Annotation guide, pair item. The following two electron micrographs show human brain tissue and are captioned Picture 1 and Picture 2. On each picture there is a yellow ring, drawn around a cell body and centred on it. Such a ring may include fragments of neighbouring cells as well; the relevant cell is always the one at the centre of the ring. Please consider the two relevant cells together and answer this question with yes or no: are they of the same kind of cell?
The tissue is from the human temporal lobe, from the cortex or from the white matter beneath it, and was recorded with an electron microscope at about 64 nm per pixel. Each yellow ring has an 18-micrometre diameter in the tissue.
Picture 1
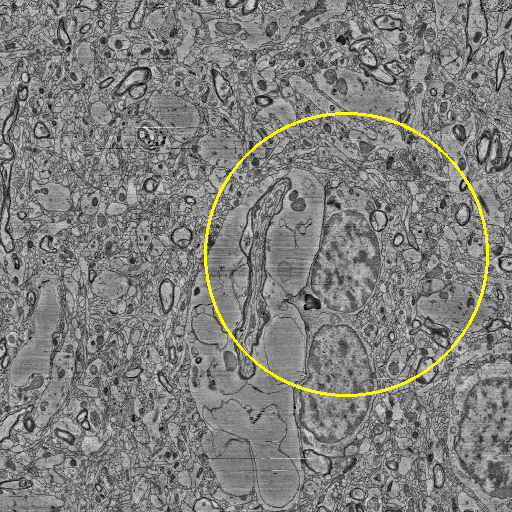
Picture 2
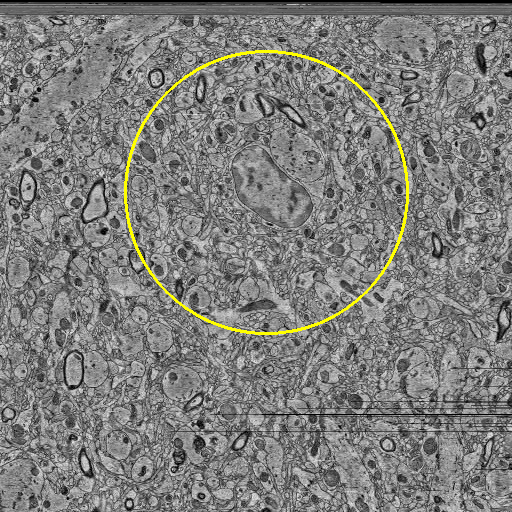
no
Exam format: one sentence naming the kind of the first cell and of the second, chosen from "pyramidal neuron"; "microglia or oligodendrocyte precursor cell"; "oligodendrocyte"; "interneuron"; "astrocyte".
The first picture's cell is an oligodendrocyte, and the second picture's cell is a microglial cell or oligodendrocyte precursor cell.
